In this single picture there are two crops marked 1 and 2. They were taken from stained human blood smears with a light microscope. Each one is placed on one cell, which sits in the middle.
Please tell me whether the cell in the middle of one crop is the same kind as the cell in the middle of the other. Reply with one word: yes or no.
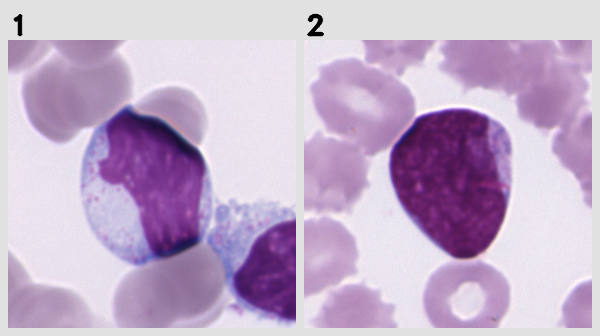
no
